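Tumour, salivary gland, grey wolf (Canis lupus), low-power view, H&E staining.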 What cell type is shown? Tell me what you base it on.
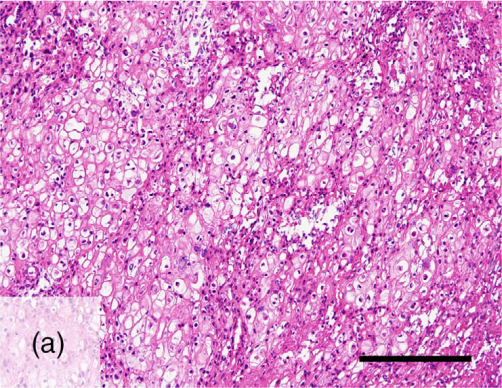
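Most cells have pale, empty-looking cytoplasm. Cell borders are sharp pink lines around the pale cytoplasm. Small dark nuclei sit within the pale cells. The answer: clear cells.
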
